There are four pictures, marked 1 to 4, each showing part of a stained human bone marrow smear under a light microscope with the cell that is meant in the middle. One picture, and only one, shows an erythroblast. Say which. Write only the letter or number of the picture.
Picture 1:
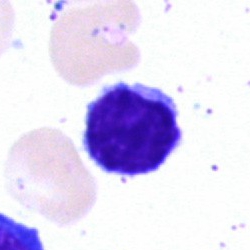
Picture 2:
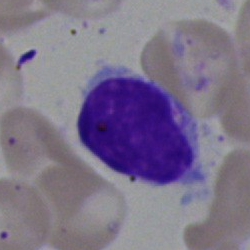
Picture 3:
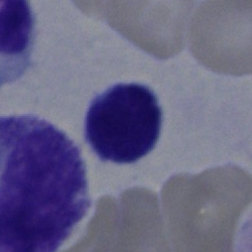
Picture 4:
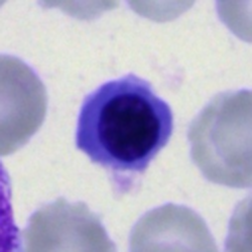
4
